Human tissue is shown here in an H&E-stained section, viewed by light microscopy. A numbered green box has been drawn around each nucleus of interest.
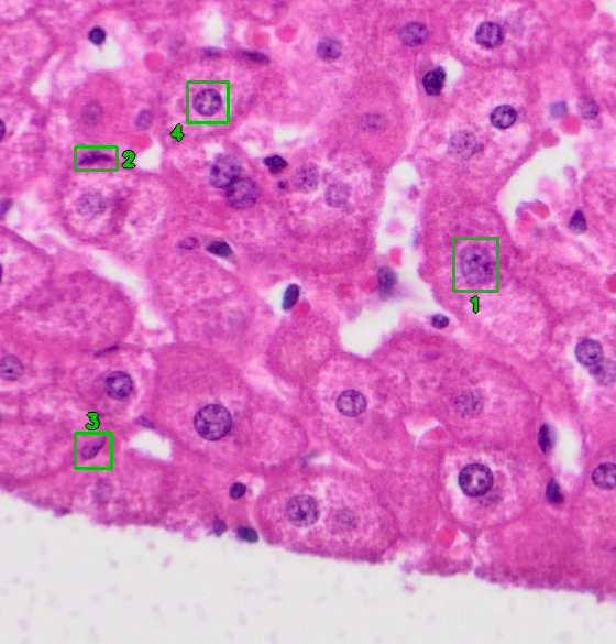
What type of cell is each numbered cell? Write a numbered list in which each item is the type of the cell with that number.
1. hepatocyte
2. fibroblast or stellate cell
3. endothelial cell
4. hepatocyte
